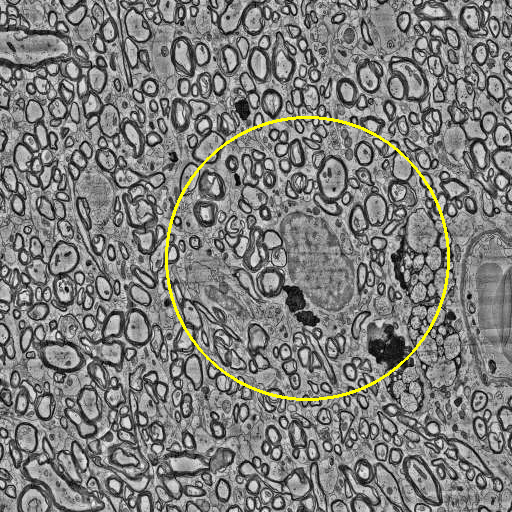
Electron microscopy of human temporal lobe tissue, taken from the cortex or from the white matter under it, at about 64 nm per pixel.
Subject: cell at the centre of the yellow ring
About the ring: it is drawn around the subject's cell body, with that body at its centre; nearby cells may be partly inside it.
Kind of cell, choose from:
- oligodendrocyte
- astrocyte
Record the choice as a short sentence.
The subject cell is an oligodendrocyte.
